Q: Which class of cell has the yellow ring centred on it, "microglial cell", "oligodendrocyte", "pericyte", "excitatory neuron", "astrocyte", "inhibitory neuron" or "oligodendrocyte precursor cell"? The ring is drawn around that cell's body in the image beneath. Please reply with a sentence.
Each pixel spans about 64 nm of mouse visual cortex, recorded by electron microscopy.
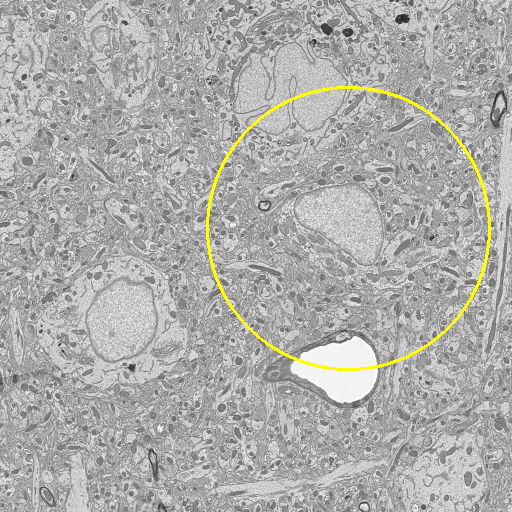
It is centred on an astrocyte.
